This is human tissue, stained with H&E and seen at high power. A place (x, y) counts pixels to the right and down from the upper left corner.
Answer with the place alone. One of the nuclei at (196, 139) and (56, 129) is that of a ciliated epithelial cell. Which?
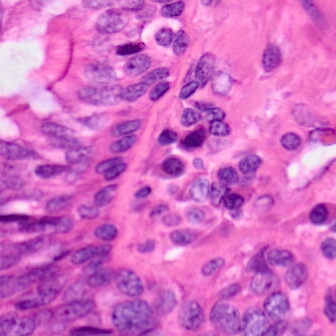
(56, 129)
